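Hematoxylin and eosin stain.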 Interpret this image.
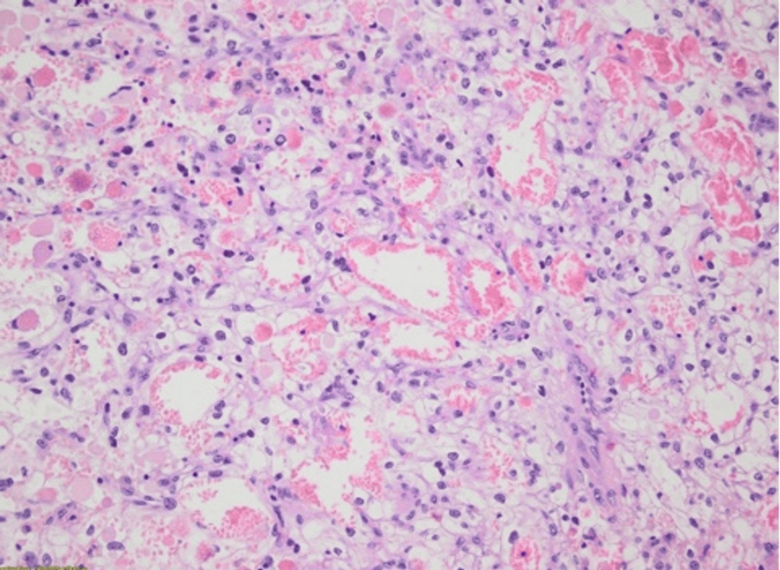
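Tissue made of polygonal cells with clear, pale cytoplasm and small dark nuclei, interlaced by a rich network of thin-walled capillaries. Many vascular spaces are dilated and filled with red blood cells, and some contain pink homogeneous material or rounded pink globules. The clear cells lie loosely between the vessels, in small groups and rough tubule-like arrangements around open spaces. Elongated nuclei line the vessels and run in thin strands through the tissue.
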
